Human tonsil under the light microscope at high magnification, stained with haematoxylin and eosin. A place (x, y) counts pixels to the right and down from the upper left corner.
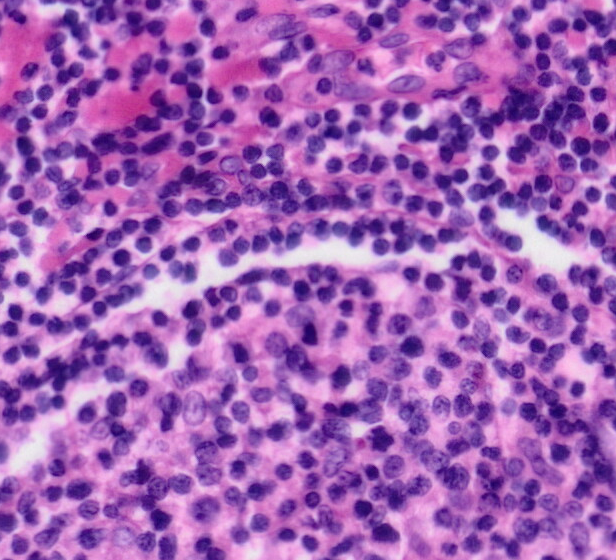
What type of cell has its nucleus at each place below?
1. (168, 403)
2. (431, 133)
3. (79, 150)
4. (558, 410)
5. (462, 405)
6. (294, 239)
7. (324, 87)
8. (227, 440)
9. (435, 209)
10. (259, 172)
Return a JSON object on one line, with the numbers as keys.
{"1": "proliferating B cell", "2": "small lymphocyte", "3": "small lymphocyte", "4": "small lymphocyte", "5": "proliferating B cell", "6": "small lymphocyte", "7": "endothelial cell", "8": "proliferating B cell", "9": "small lymphocyte", "10": "small lymphocyte"}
